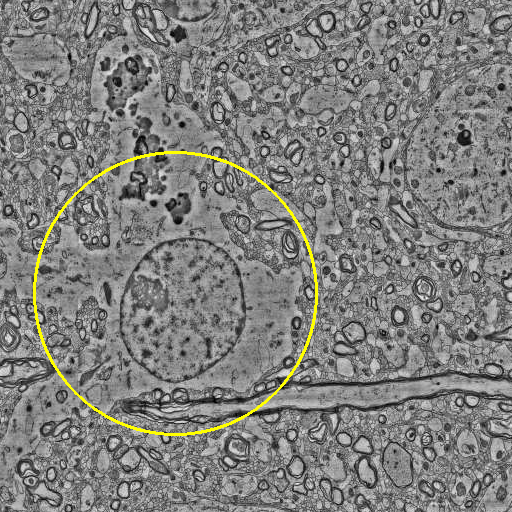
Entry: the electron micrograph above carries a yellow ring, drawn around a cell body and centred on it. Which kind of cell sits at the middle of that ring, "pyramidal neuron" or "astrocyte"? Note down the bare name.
astrocyte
